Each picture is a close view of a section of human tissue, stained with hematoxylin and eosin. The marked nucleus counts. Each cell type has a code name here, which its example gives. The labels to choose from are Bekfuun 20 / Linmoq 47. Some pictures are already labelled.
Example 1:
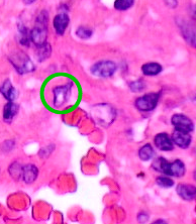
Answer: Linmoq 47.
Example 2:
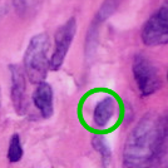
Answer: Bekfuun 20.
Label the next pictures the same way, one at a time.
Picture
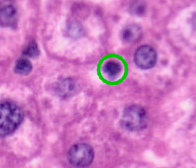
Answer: Bekfuun 20.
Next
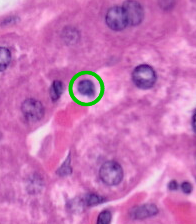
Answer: Bekfuun 20.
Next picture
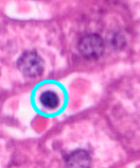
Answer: Bekfuun 20.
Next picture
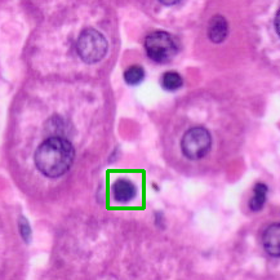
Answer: Bekfuun 20.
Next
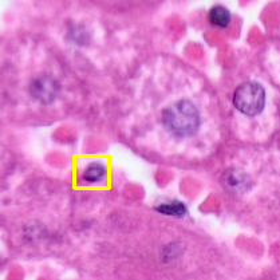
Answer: Bekfuun 20.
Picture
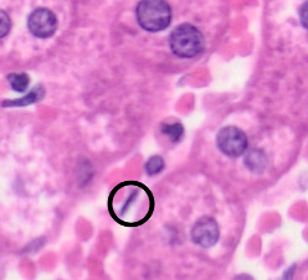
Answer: Linmoq 47.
